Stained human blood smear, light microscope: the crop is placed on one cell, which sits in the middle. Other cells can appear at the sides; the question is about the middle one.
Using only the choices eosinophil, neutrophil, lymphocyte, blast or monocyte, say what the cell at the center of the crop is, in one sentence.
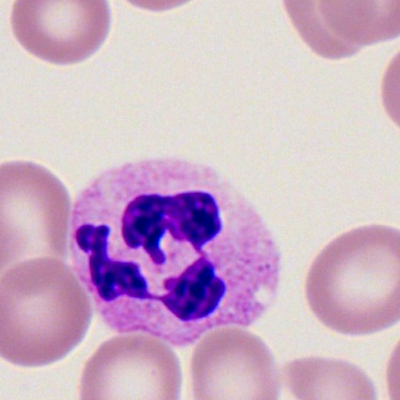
Classified as a neutrophil is the cell in the middle of this crop.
